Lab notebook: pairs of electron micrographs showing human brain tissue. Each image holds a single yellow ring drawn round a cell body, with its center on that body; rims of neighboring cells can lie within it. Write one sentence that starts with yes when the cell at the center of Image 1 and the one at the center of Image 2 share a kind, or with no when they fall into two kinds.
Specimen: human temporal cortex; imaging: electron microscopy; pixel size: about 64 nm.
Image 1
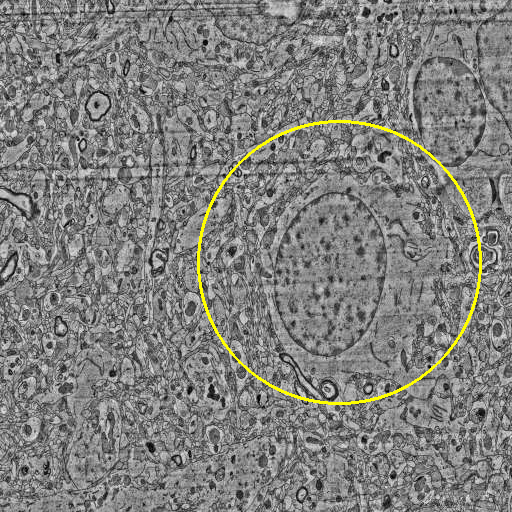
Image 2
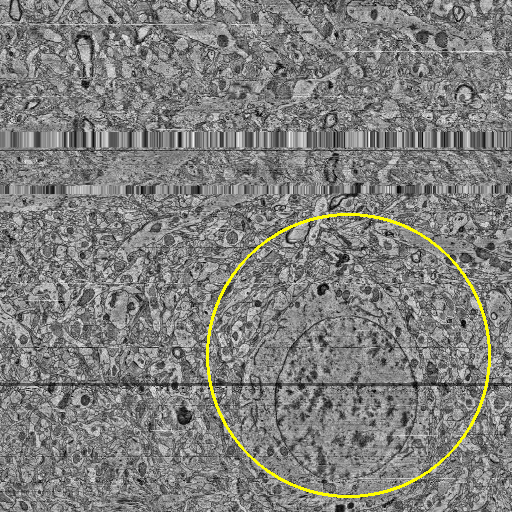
No, the centered cell in Image 1 and the centered cell in Image 2 are of two kinds.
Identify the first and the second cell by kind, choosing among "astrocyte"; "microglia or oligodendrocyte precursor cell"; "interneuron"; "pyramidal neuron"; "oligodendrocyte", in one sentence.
The one in the first picture is an astrocyte, while the one in the second is a pyramidal neuron.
